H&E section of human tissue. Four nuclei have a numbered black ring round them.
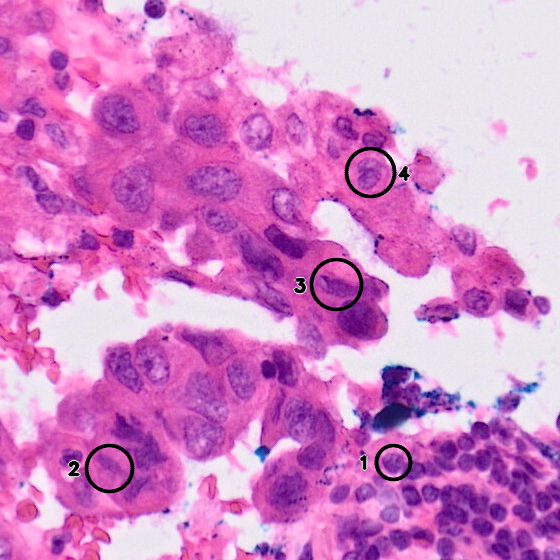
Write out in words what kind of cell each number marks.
Cell 1 is a lymphocyte, cell 2 is a carcinoma cell, cell 3 is a carcinoma cell and cell 4 is a macrophage or monocyte.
